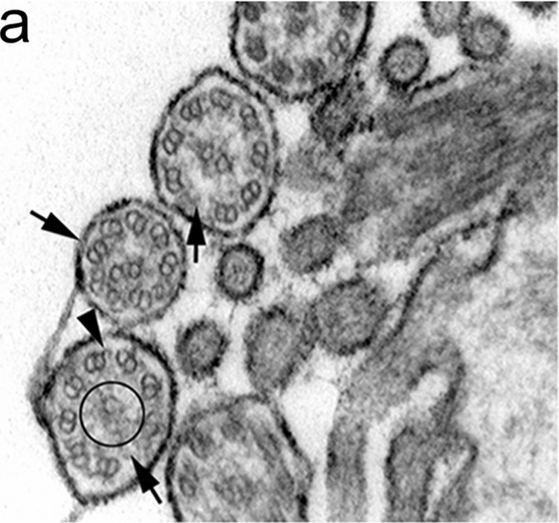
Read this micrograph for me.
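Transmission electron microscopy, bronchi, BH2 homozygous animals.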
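Cross-sections of respiratory cilia are seen, each a round profile bounded by a dark membrane and containing a ring of paired microtubule profiles. In several cilia the paired microtubules are unevenly spaced or displaced out of the ring, and in one the central region, circled, holds no clear central pair. Smaller round profiles without a doublet ring lie between the cilia, and a denser cell surface with a fibrillar band occupies the right side.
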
